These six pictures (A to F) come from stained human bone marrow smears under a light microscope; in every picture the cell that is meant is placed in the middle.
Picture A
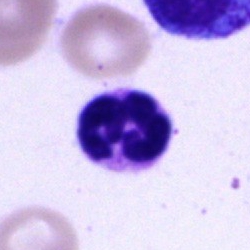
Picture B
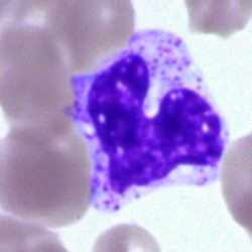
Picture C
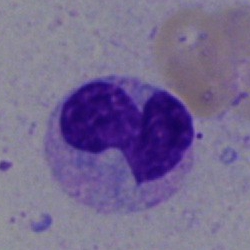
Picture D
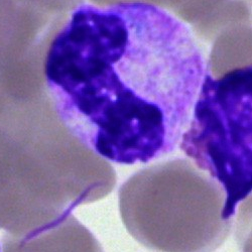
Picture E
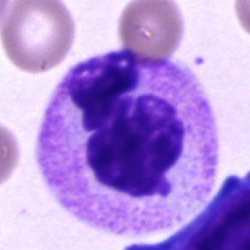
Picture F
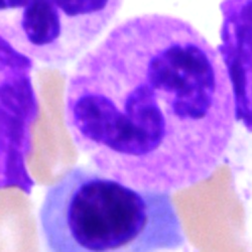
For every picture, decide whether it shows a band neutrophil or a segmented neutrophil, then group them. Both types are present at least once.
A: segmented neutrophil
B: band neutrophil
C: band neutrophil
D: band neutrophil
E: segmented neutrophil
F: segmented neutrophil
